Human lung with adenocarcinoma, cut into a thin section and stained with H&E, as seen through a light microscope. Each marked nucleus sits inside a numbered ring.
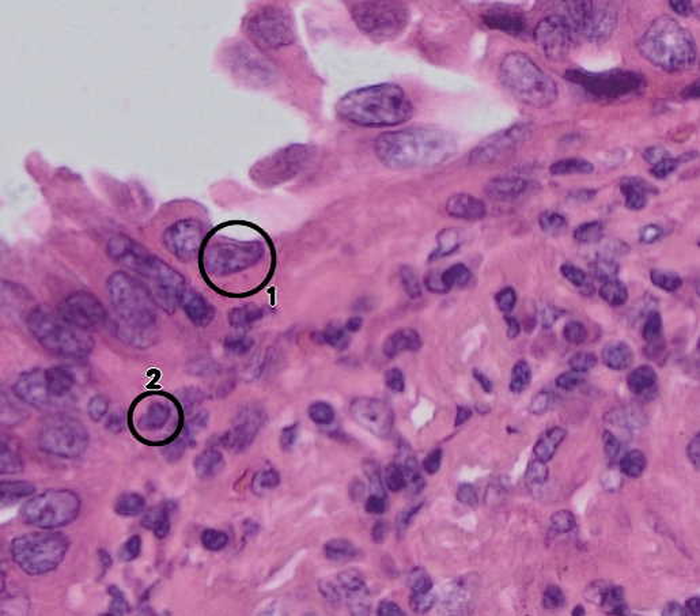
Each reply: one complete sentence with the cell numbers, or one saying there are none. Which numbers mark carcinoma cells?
Among the marked cells, cell number 1 alone is a carcinoma cell.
